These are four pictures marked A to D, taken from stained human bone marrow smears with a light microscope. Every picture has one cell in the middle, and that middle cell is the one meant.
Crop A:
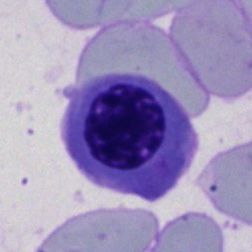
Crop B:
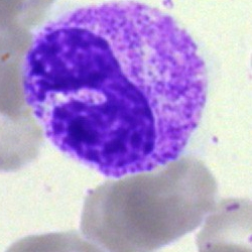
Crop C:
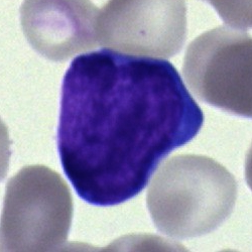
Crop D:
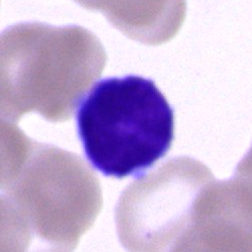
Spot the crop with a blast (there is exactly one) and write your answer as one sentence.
The one crop that shows a blast is crop C.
